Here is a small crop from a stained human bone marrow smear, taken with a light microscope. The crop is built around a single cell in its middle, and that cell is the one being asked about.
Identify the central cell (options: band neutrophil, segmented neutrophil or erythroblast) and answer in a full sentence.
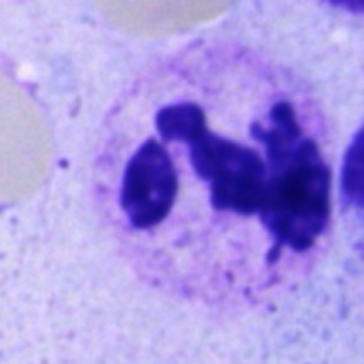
As for the central cell, it is a segmented neutrophil.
